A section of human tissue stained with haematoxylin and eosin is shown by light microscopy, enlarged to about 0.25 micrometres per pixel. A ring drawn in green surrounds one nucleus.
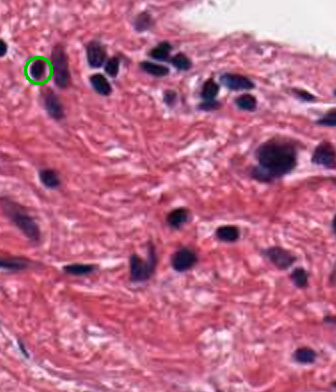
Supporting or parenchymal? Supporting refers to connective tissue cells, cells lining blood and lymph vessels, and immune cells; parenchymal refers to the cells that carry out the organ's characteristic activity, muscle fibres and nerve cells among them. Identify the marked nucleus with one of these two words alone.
supporting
